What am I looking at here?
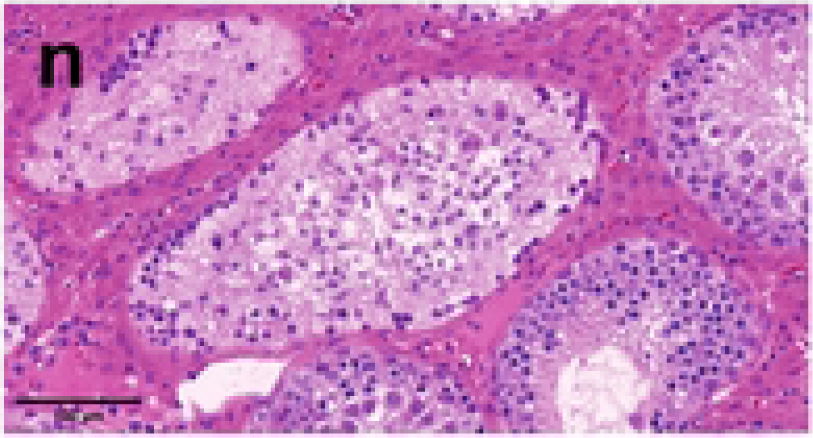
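This section of testis shows seminiferous tubules that look quite unlike the usual picture. The tubules are lined by only a few layers of cells with round, dark-purple nuclei, and their centres are pale and foamy, with loose, vacuolated cytoplasm instead of a lumen filled with sperm tails. No elongated late germ cells or sperm tails are evident. Between the tubules lie broad pink bands of interstitial tissue, wider than normal, in which scattered cells with round nuclei sit.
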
